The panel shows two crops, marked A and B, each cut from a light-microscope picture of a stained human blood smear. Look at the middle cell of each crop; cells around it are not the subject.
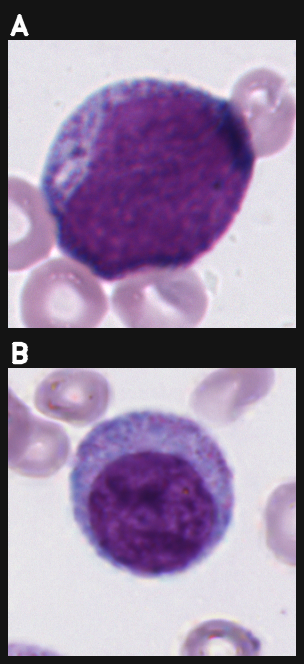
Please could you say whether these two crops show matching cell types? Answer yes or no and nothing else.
no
